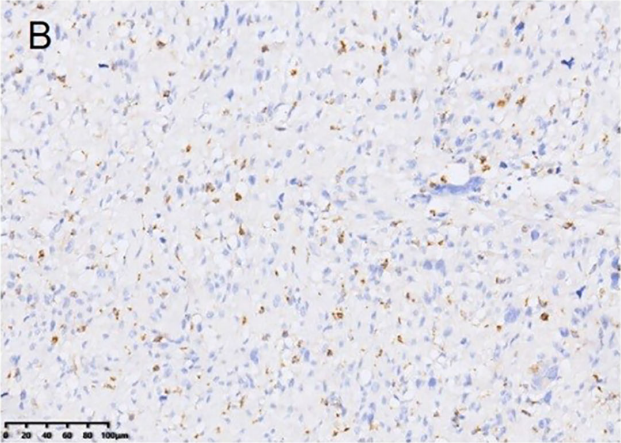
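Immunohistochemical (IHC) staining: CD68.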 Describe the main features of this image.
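Scattered among them are numerous small cells with fine brown granular deposits in their cytoplasm. The blue-stained tumour cell nuclei vary in size and shape, and a small vessel is seen toward the right.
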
